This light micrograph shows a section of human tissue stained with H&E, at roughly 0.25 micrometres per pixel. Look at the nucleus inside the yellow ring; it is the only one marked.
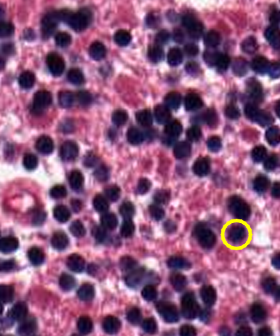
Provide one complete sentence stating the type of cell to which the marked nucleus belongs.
The cell containing the marked nucleus is a cerebellar granule cell.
